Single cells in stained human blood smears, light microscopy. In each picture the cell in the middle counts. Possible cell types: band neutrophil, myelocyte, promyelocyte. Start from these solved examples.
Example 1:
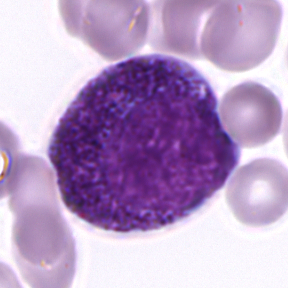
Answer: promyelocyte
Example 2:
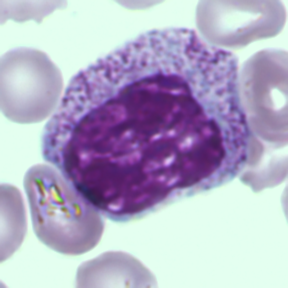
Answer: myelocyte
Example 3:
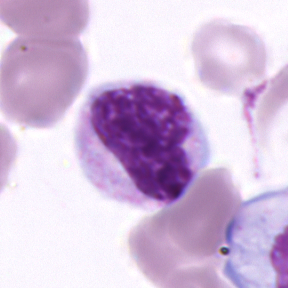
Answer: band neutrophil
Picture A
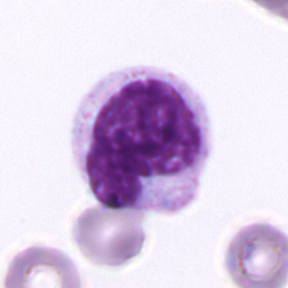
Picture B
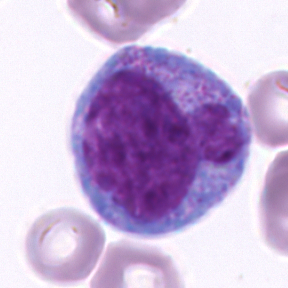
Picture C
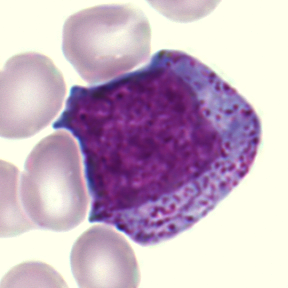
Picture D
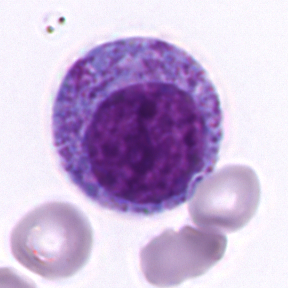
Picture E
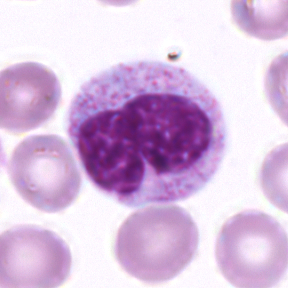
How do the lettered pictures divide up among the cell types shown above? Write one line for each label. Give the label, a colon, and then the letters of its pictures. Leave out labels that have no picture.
band neutrophil: A, E
promyelocyte: B, C, D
